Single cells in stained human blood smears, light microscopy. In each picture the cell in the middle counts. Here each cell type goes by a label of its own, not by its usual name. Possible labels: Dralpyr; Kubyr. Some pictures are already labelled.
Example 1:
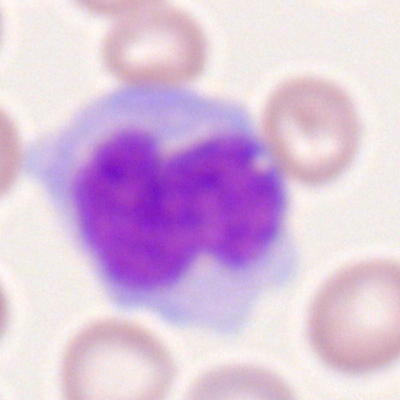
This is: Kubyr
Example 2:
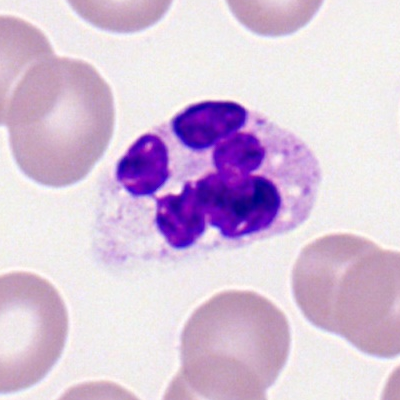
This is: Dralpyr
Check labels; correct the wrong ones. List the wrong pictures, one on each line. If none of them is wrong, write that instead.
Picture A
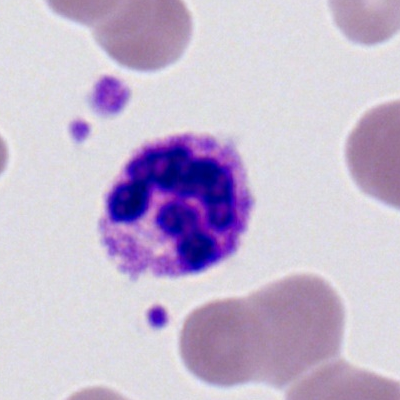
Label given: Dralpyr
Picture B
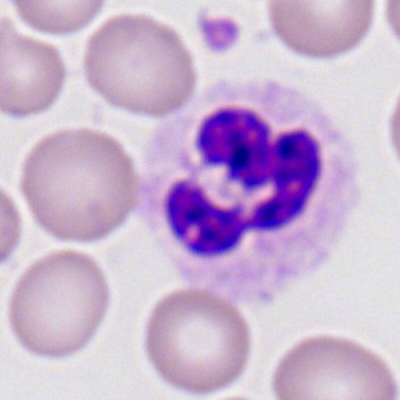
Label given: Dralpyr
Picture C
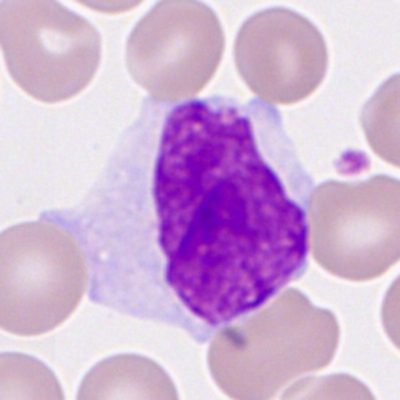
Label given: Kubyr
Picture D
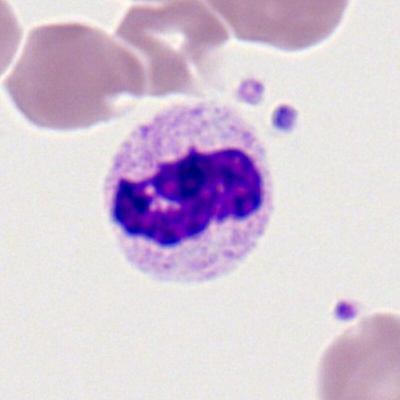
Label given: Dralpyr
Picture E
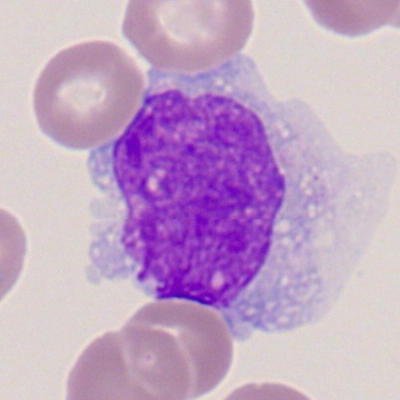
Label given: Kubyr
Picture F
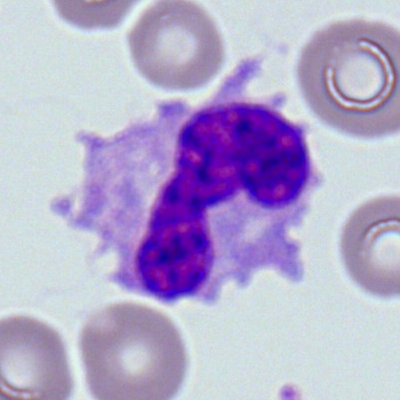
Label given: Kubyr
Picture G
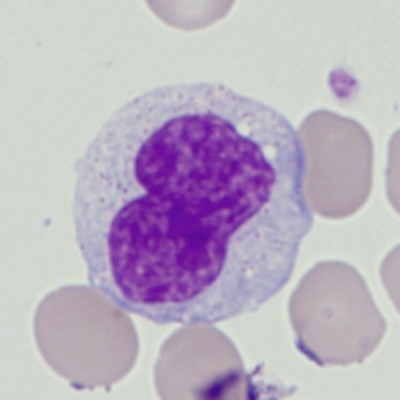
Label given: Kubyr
Nothing to fix; every label fits.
